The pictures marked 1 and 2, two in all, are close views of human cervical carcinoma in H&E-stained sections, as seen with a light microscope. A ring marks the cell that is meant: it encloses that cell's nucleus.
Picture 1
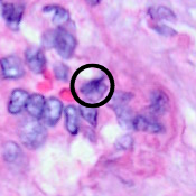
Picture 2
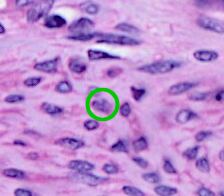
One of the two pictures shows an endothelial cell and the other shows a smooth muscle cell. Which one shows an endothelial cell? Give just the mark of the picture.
1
